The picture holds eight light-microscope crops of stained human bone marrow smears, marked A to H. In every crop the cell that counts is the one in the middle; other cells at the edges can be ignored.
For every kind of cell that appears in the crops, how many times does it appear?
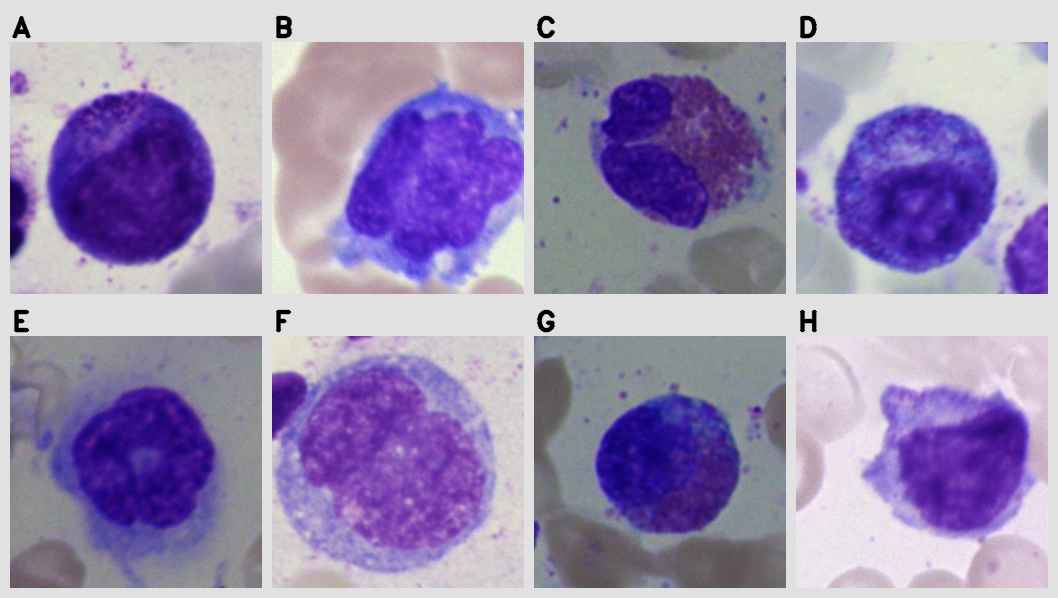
promyelocyte: 3
monocyte: 3
eosinophil: 2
